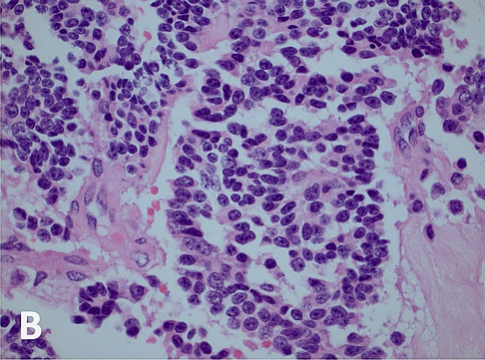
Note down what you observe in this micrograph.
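These are tumour cells of a well-differentiated neuroendocrine tumour, seen at high power. The cells sit in nests and small clusters separated by thin pink strands of fibrovascular stroma, with pale open spaces between some groups. The nuclei are round to oval and strikingly alike in size and shape. Look closely at the chromatin: it is finely speckled, dotted evenly through each nucleus like salt and pepper, rather than smooth or coarsely clumped. The cytoplasm is scant and faintly pink, so the nuclei seem crowded together. Mitoses and marked variation in nuclear size are not evident.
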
